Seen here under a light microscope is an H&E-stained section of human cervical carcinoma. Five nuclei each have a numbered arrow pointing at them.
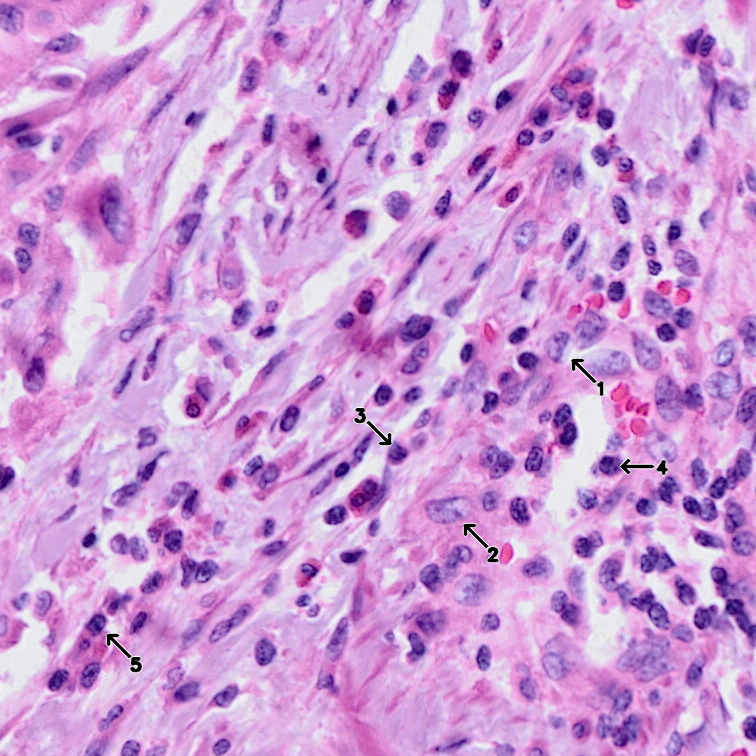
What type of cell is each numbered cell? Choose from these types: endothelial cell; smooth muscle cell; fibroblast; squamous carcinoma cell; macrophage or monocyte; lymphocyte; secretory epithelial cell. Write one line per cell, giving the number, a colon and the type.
1: endothelial cell
2: endothelial cell
3: lymphocyte
4: lymphocyte
5: lymphocyte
